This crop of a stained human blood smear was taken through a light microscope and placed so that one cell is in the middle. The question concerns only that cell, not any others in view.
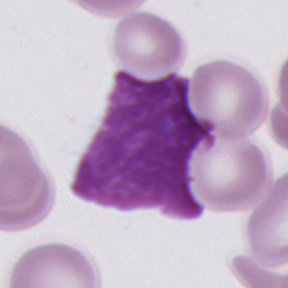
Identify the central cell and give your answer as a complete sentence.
The cell at the centre of the field is a smudge cell.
